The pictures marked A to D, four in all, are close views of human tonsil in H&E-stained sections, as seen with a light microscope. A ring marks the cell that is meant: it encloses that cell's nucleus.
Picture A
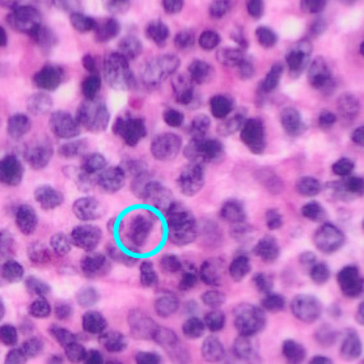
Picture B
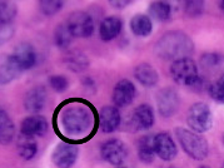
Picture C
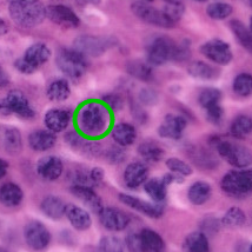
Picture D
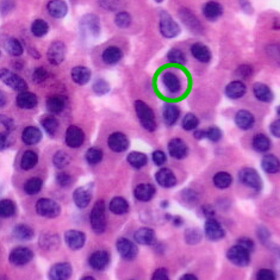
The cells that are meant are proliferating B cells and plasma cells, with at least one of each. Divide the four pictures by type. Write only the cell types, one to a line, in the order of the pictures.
proliferating B cell
plasma cell
plasma cell
plasma cell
